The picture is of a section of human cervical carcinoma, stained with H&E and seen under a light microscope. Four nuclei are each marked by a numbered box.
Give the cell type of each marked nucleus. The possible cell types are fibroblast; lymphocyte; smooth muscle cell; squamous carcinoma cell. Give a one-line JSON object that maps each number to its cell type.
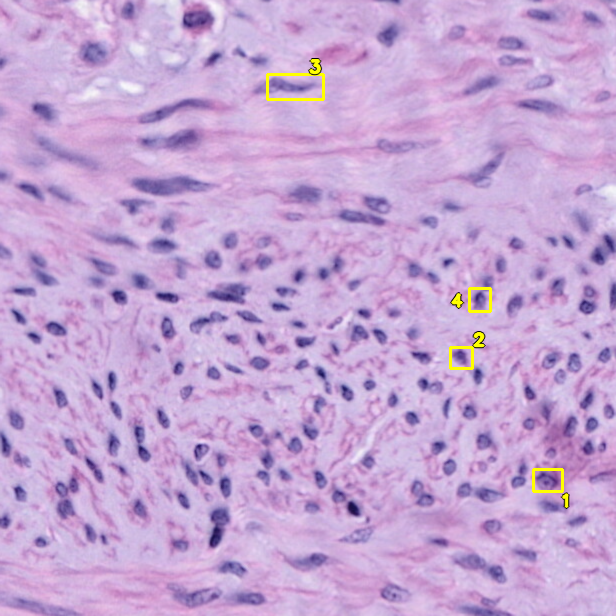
{"1": "smooth muscle cell", "2": "smooth muscle cell", "3": "fibroblast", "4": "smooth muscle cell"}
